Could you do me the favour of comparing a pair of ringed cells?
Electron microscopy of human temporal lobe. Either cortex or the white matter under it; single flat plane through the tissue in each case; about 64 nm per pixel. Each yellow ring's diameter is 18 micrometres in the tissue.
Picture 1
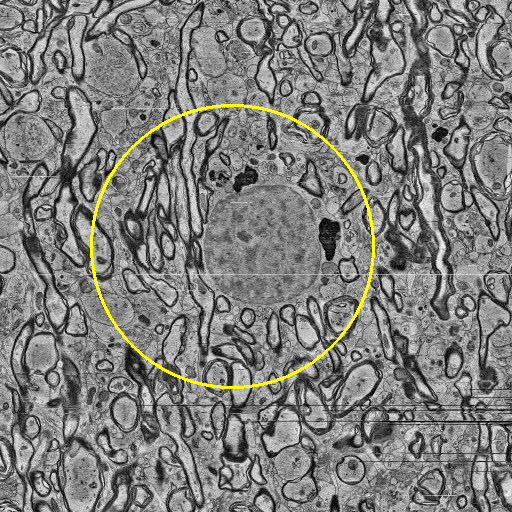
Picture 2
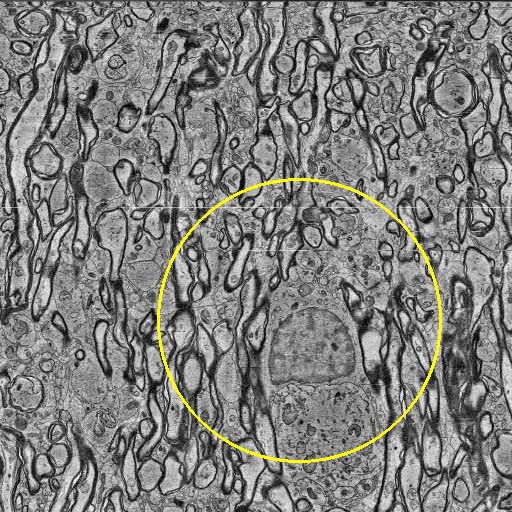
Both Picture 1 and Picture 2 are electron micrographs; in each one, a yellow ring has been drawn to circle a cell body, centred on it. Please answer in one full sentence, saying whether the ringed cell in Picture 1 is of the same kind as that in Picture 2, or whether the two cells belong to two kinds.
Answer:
The ringed cell in Picture 1 is of the same kind as that in Picture 2.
